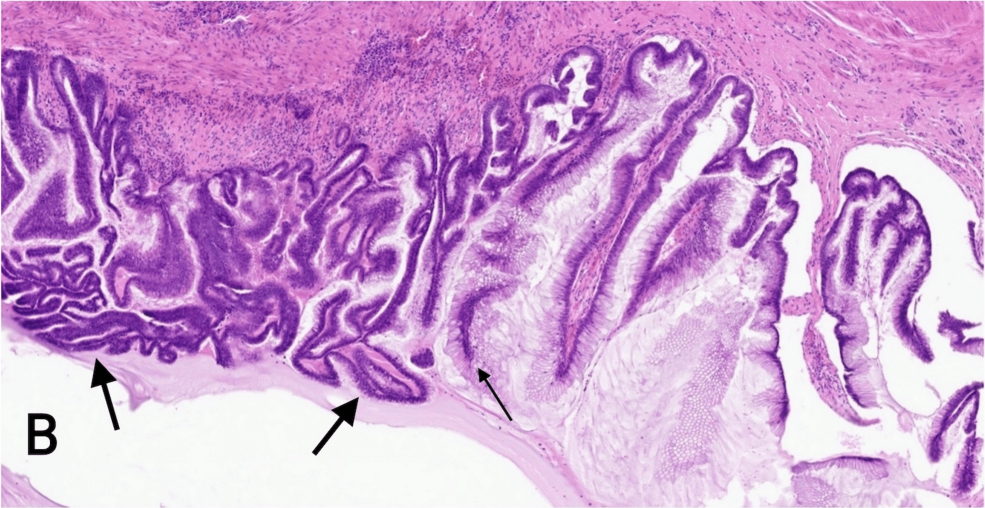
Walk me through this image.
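Finger-like papillae project from a pink fibrous wall into a lumen and are lined by a single layer of tall columnar epithelium. In some stretches the cells have abundant pale, clear mucinous cytoplasm with small dark nuclei lined up at their bases, as expected of mucinous epithelium. In other stretches the epithelium is crowded and deep purple, with elongated dark nuclei stacked at different levels and little mucin. These crowded, hyperchromatic, pseudo-stratified areas correspond to low-grade dysplasia in a papillary mucinous lining.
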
